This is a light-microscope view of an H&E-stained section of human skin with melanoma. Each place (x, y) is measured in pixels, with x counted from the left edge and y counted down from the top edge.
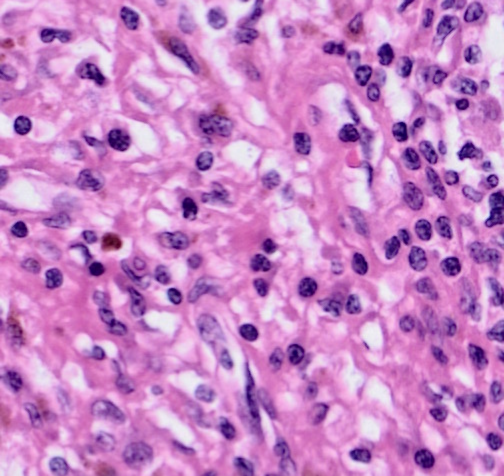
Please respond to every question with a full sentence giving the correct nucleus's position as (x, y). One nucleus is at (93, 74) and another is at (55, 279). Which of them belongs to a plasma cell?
The nucleus positioned at (93, 74) is the one that belongs to a plasma cell.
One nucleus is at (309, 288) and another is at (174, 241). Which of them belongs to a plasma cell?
The nucleus at (309, 288) is the one of the two that belongs to a plasma cell.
